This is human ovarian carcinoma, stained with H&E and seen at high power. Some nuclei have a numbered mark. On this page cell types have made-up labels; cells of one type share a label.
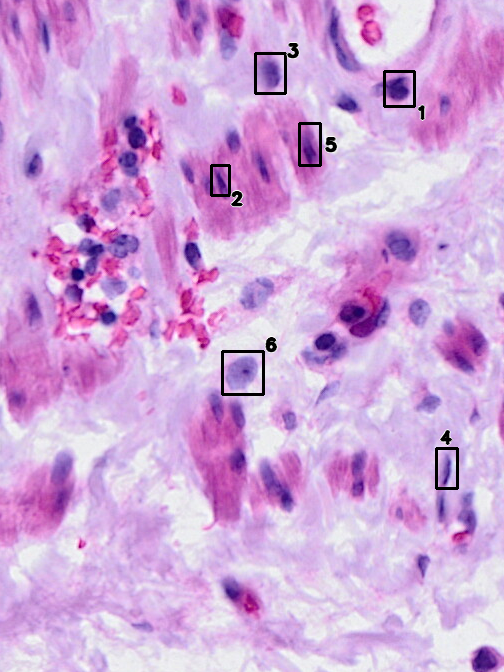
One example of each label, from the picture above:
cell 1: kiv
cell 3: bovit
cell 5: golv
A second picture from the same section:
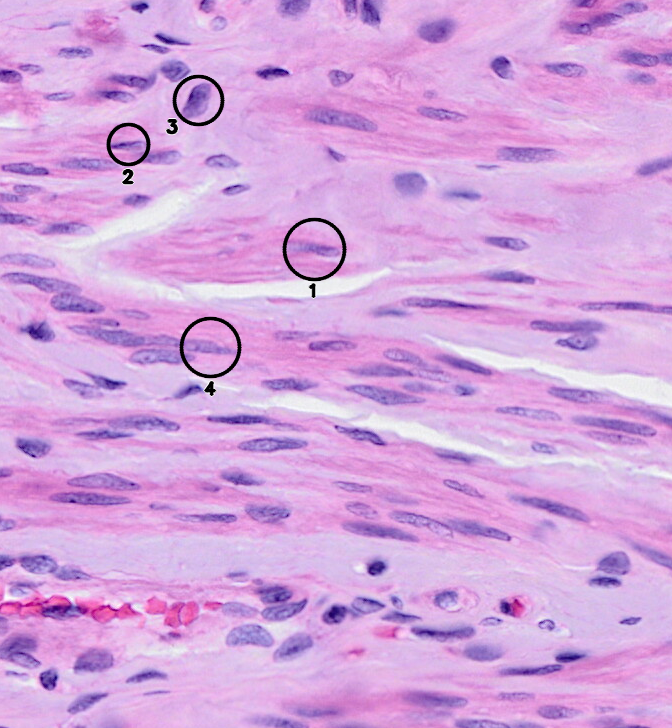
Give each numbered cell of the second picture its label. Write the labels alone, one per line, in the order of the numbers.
golv
golv
bovit
golv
